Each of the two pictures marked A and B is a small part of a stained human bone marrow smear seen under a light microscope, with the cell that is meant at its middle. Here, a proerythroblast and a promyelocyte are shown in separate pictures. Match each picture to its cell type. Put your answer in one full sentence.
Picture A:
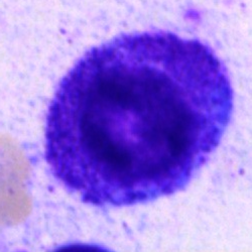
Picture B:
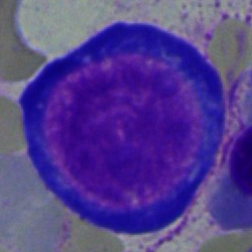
Picture A is of a promyelocyte, and picture B is of a proerythroblast.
